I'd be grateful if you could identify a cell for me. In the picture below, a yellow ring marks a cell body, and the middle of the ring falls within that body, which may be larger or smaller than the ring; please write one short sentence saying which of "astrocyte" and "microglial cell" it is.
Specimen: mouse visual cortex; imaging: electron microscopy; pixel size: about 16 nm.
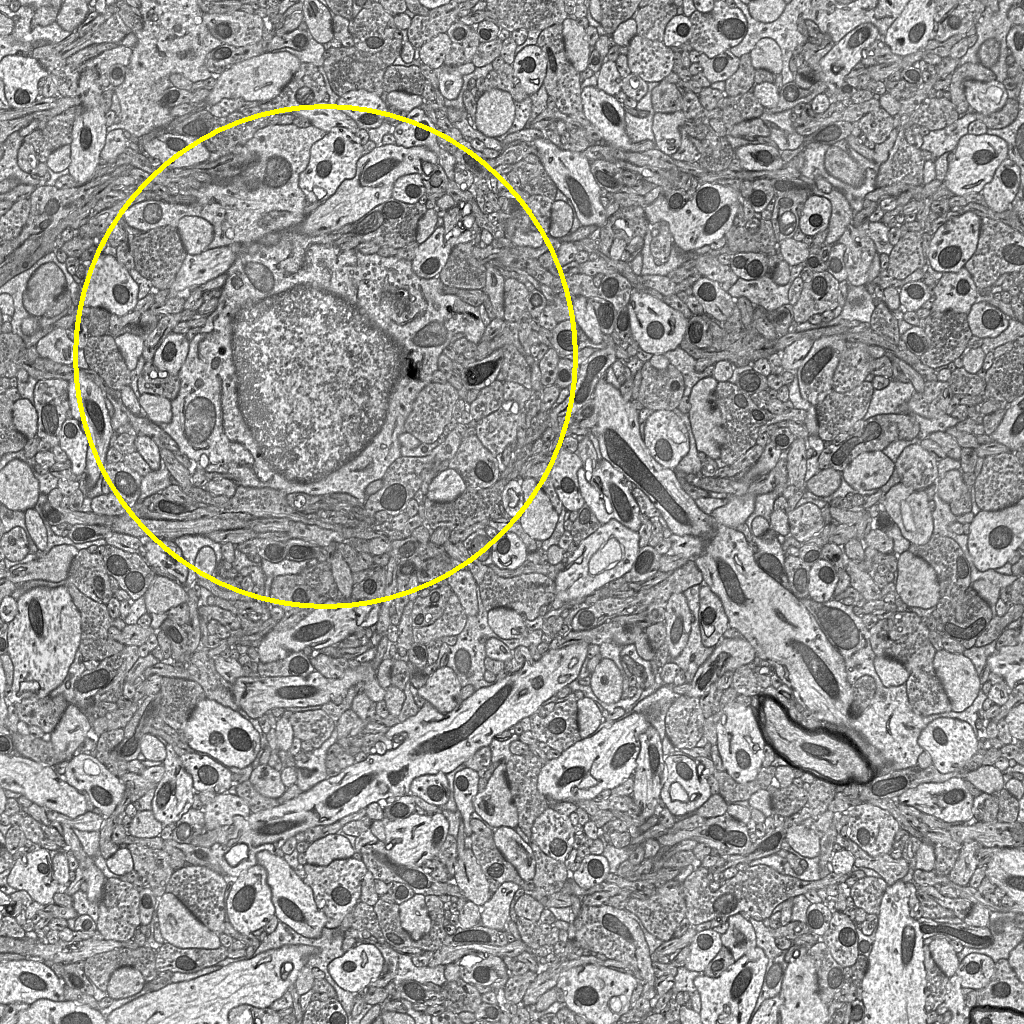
The cell under the ring's centre is an astrocyte.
